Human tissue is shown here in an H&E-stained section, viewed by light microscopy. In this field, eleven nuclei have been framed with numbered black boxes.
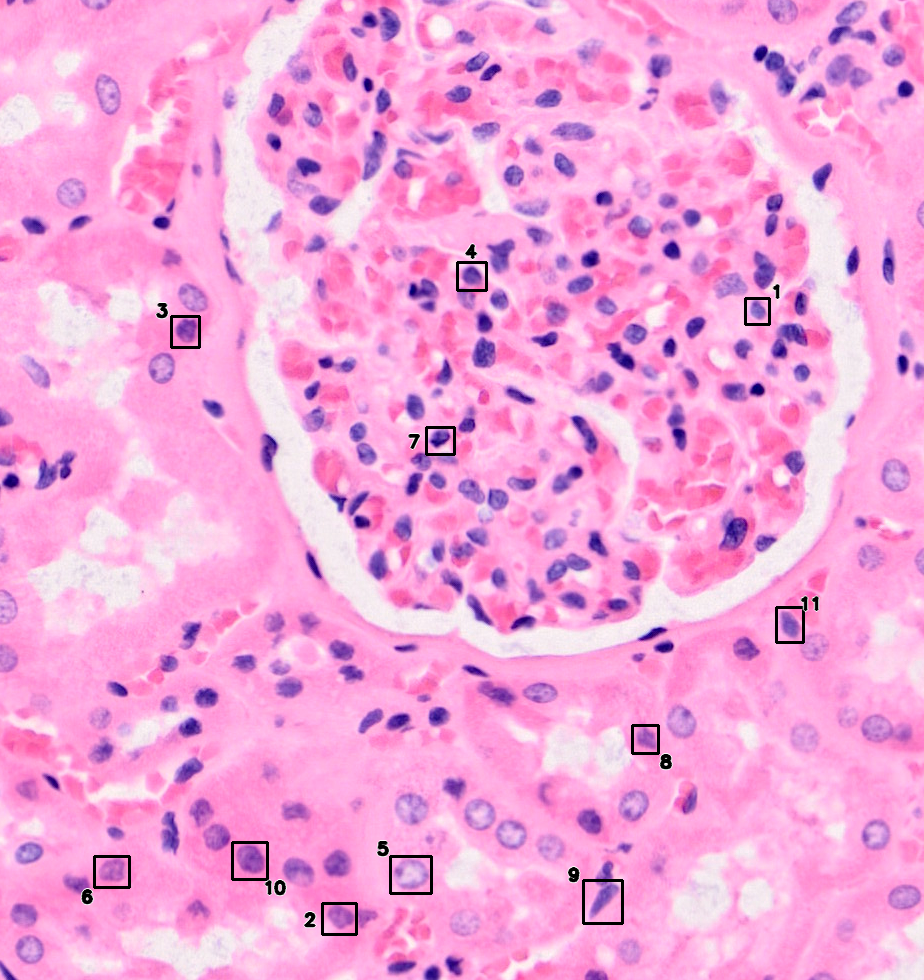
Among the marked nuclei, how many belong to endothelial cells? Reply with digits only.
5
